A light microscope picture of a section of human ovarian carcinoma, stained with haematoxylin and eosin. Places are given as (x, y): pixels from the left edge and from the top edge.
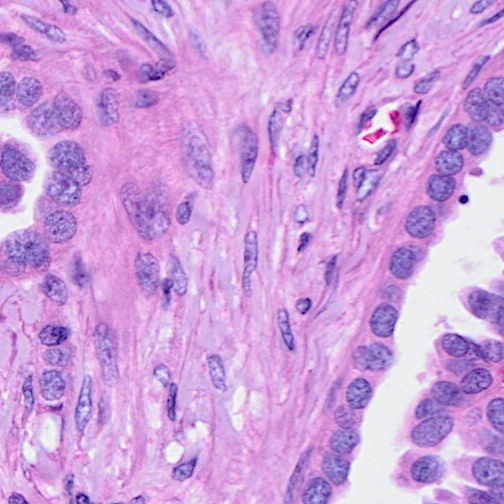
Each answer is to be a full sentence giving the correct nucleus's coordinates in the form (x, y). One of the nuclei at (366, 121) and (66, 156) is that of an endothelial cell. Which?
Identify the nucleus at (366, 121) as the one belonging to an endothelial cell.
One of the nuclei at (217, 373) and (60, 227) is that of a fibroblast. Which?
The nucleus belonging to a fibroblast is the one at (217, 373).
